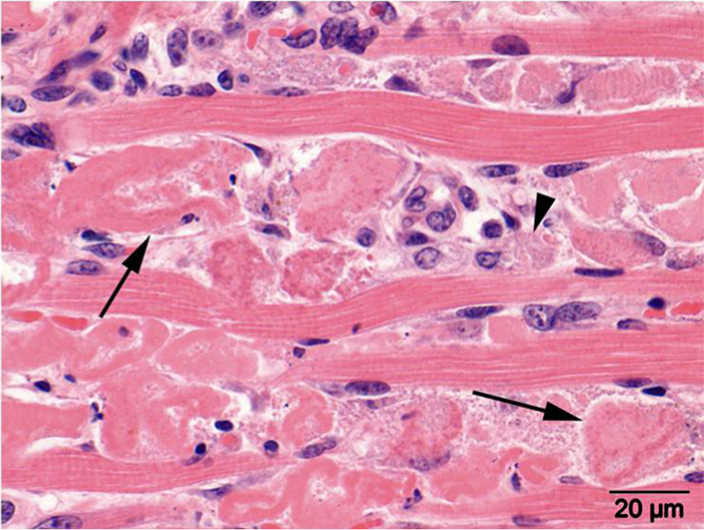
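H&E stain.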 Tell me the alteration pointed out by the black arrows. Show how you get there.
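Hyalinization and fragmentation of muscle fibres. Arrowed fibres have lost their cross striations and look glassy pink. Arrowed fibres are broken into clumps with granular material. Intact striated fibres run alongside them.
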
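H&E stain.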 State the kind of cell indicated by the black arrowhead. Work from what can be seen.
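A cluster of cells with oval to bean-shaped nuclei lies among damaged fibres. On this evidence: macrophages.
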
